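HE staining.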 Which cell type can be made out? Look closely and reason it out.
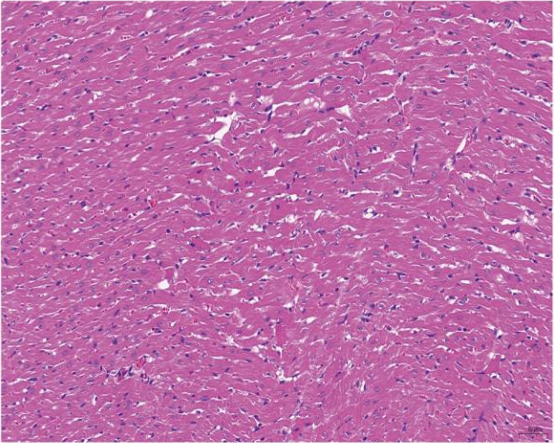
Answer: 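Elongated pink muscle fibres lie densely packed in parallel. Fibres branch and join neighbours with little space between them. So: cardiomyocytes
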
